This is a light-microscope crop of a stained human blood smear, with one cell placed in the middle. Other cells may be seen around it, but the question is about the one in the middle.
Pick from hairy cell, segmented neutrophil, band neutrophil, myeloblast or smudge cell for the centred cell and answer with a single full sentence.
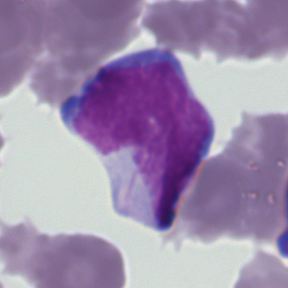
Standing at the centre of this crop is a myeloblast.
